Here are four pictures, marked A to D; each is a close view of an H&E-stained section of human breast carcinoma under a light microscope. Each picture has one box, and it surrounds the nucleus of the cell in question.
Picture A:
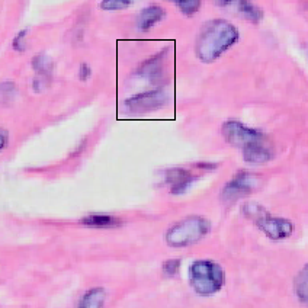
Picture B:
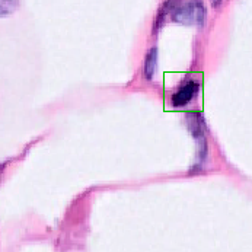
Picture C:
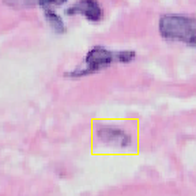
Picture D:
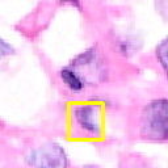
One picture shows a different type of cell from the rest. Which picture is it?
C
